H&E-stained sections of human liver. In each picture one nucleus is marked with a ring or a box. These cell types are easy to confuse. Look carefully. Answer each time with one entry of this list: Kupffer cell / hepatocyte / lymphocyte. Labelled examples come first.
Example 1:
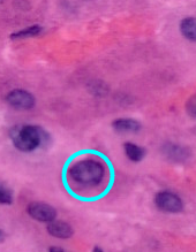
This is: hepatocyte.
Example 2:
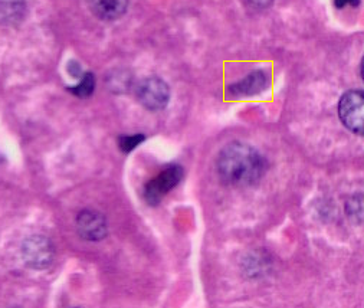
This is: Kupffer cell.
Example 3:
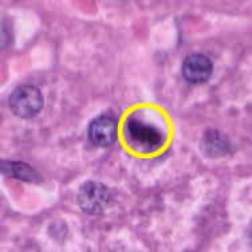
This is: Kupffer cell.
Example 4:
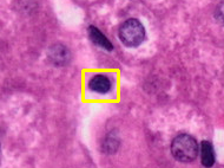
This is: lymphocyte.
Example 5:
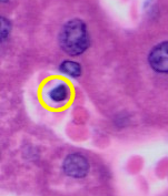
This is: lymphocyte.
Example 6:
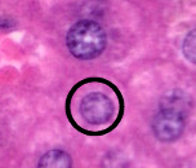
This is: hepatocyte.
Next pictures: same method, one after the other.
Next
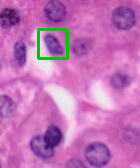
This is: Kupffer cell.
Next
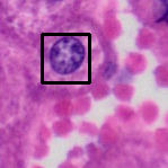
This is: hepatocyte.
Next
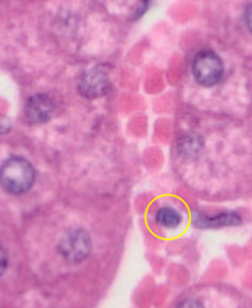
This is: lymphocyte.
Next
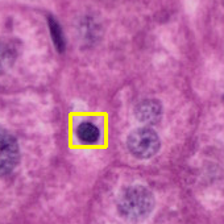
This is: lymphocyte.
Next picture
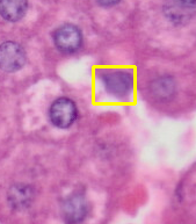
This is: Kupffer cell.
